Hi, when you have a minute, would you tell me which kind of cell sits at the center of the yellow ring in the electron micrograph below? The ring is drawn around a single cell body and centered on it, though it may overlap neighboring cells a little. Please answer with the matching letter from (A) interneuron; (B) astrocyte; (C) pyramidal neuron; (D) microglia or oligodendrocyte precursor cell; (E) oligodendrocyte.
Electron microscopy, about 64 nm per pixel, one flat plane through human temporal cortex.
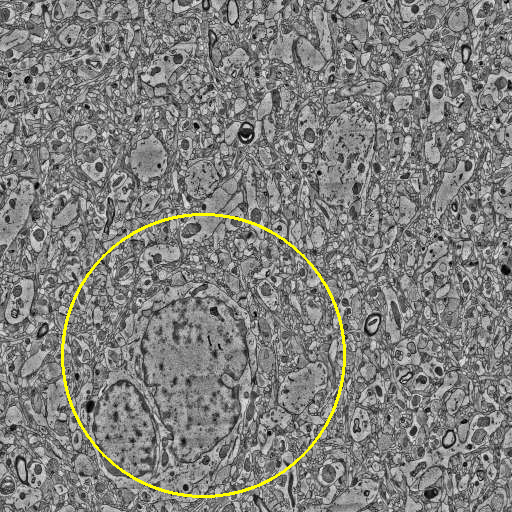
A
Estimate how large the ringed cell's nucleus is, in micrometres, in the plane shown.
Roughly 10 micrometres by 7 micrometres, in this plane.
